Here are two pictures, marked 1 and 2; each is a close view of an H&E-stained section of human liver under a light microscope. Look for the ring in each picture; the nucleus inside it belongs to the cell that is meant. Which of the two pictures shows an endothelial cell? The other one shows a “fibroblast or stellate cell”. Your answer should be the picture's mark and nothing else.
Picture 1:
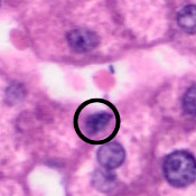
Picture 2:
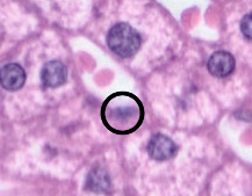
2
